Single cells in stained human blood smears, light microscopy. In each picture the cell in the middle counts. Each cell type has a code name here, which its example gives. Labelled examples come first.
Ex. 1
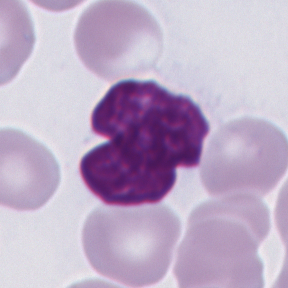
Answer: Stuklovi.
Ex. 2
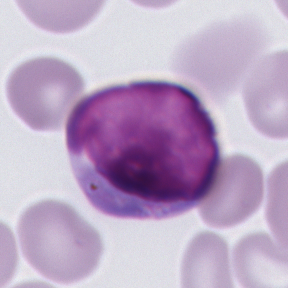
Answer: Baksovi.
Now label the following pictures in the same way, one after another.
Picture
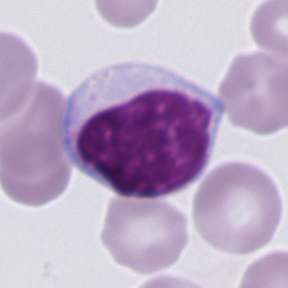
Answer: Baksovi.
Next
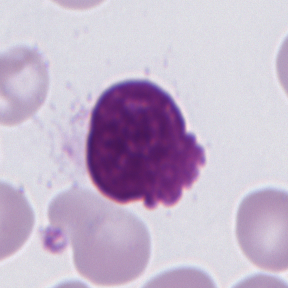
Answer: Stuklovi.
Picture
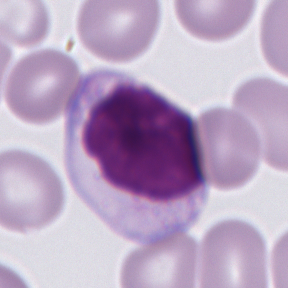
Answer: Baksovi.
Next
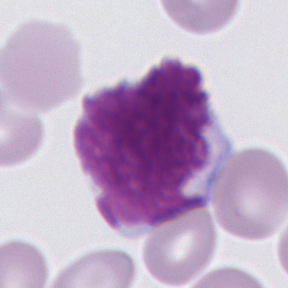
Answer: Stuklovi.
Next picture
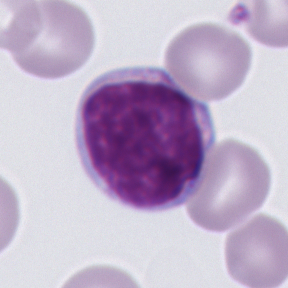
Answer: Baksovi.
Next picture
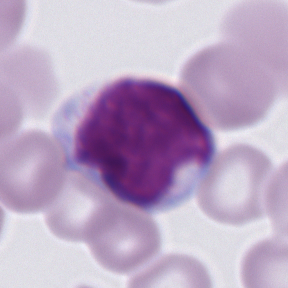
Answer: Baksovi.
